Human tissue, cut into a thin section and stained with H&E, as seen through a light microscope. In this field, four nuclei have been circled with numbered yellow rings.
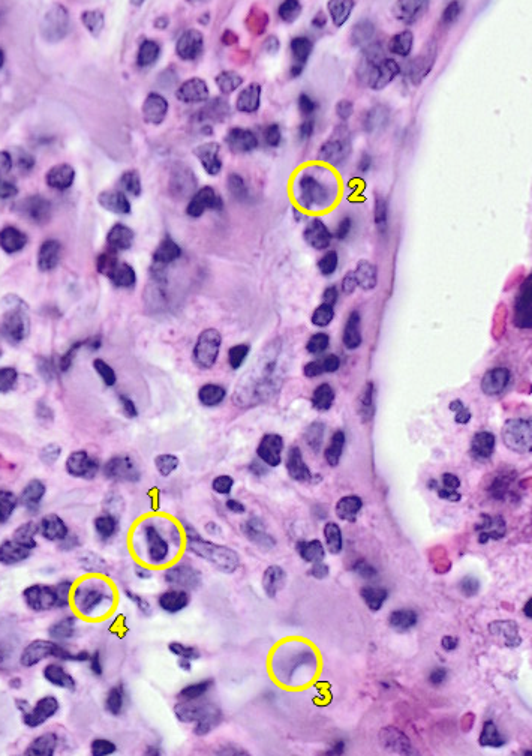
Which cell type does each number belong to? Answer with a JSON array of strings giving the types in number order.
["lymphocyte", "lymphocyte", "fibroblast", "lymphocyte"]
